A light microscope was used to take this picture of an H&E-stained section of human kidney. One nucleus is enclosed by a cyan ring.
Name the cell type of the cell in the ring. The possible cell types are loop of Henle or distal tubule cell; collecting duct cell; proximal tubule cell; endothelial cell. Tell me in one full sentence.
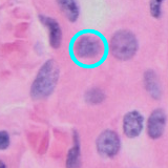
Among the cells in this section, the cell in the ring is a loop of Henle or distal tubule cell.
